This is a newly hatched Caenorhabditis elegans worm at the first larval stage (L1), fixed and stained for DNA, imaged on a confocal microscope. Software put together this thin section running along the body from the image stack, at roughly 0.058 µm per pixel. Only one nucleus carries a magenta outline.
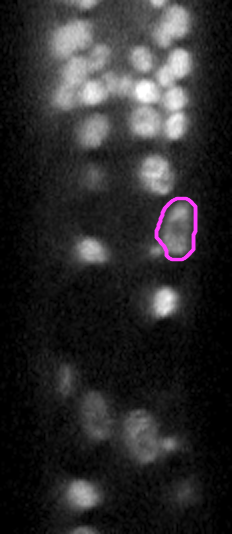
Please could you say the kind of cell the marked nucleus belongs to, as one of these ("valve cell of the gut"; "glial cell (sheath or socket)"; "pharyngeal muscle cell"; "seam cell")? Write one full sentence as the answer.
This nucleus is from a seam cell.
